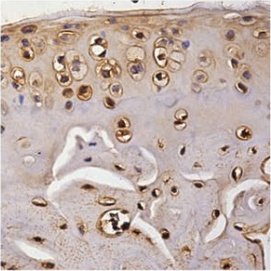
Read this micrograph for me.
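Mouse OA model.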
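This is articular cartilage with its chondrocytes, seen near the joint surface. The chondrocytes are rounded cells lying in clear lacunae, some singly and some in small clusters of two to four cells, set in a pale, smooth matrix. Many of them are stained brown, with a small blue nucleus visible inside. Deeper down, the tissue becomes more irregular, with spaces and a few brown-stained cells in the underlying bone.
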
